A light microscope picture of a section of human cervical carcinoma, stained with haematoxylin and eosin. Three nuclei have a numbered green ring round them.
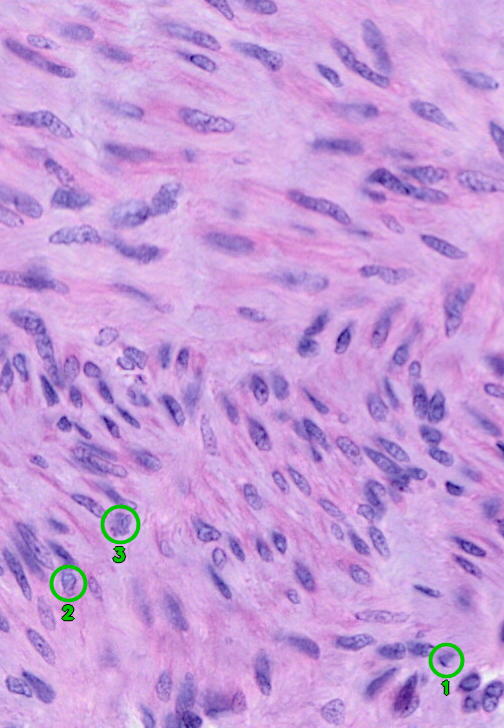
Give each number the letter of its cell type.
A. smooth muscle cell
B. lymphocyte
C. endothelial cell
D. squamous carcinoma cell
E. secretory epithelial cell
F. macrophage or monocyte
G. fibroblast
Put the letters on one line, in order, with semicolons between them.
G; A; A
